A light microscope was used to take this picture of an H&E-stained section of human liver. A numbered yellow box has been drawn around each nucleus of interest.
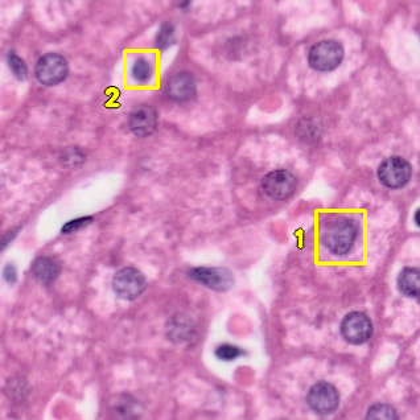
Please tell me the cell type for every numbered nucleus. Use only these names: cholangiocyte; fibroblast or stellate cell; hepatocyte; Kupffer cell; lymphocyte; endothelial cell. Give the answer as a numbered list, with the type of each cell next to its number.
1. hepatocyte
2. lymphocyte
